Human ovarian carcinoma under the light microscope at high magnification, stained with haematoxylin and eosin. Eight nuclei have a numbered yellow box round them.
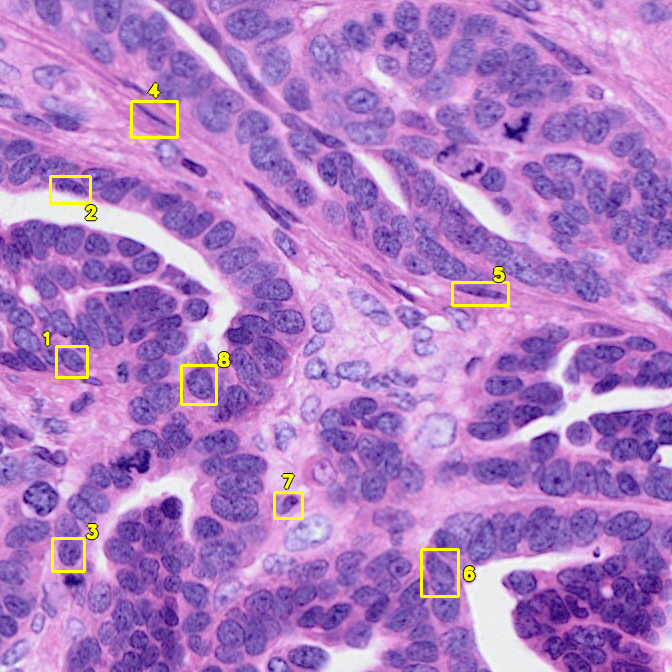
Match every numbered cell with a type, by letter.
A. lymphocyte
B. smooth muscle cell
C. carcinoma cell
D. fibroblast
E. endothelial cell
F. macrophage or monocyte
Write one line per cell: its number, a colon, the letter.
1: C
2: C
3: C
4: D
5: D
6: C
7: F
8: C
